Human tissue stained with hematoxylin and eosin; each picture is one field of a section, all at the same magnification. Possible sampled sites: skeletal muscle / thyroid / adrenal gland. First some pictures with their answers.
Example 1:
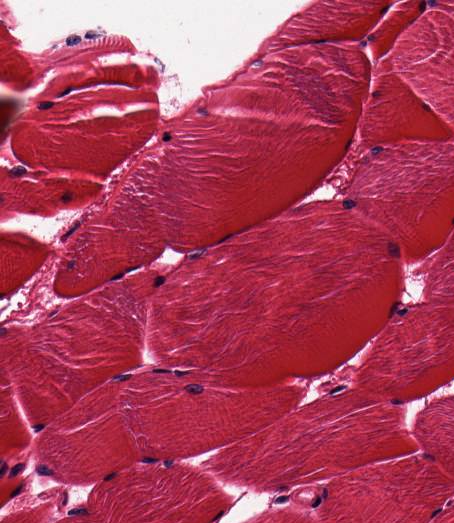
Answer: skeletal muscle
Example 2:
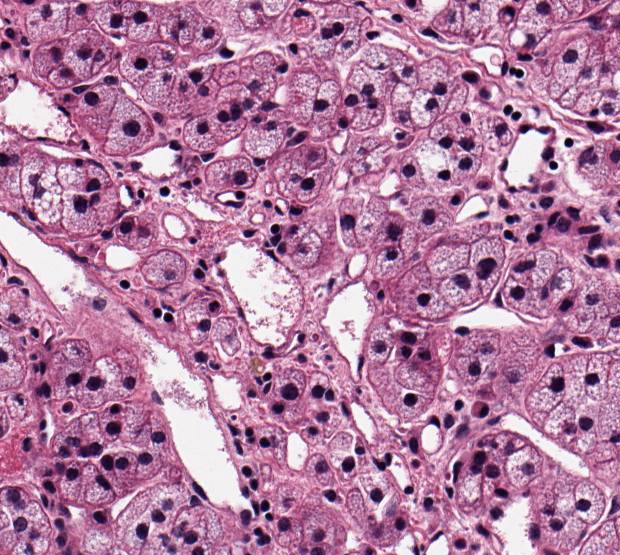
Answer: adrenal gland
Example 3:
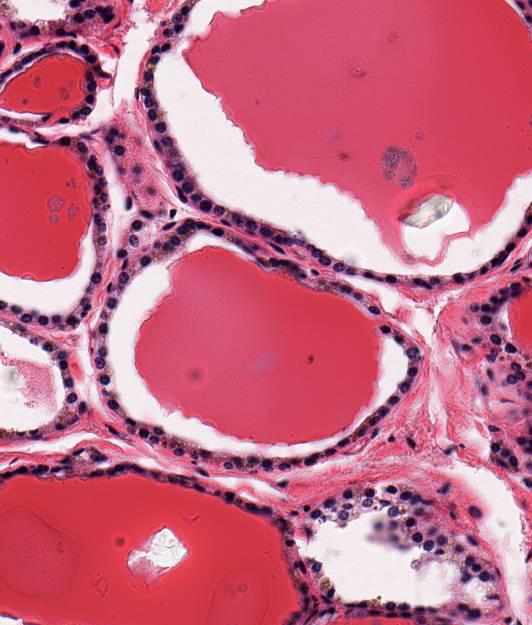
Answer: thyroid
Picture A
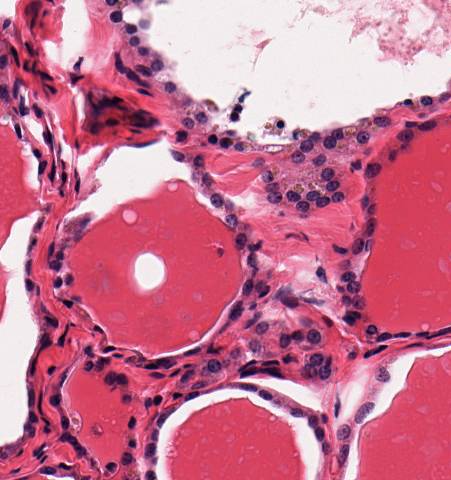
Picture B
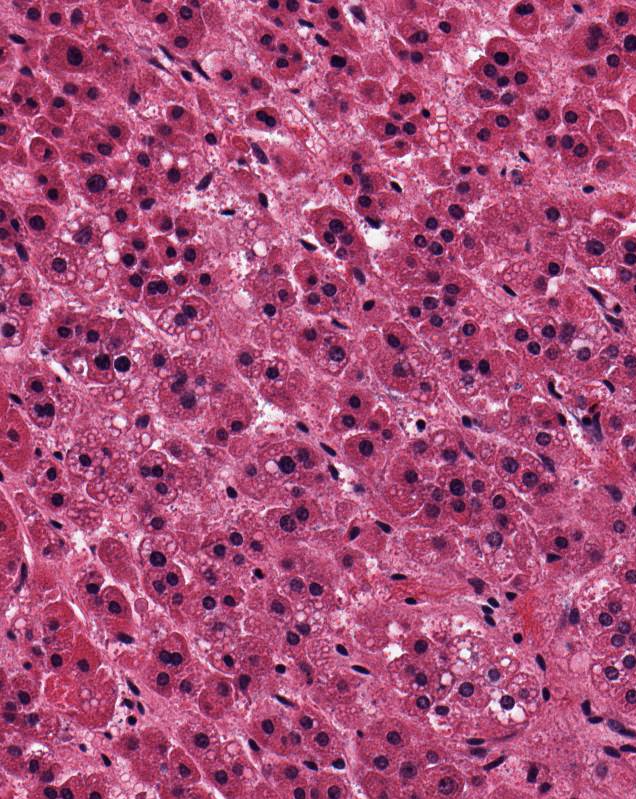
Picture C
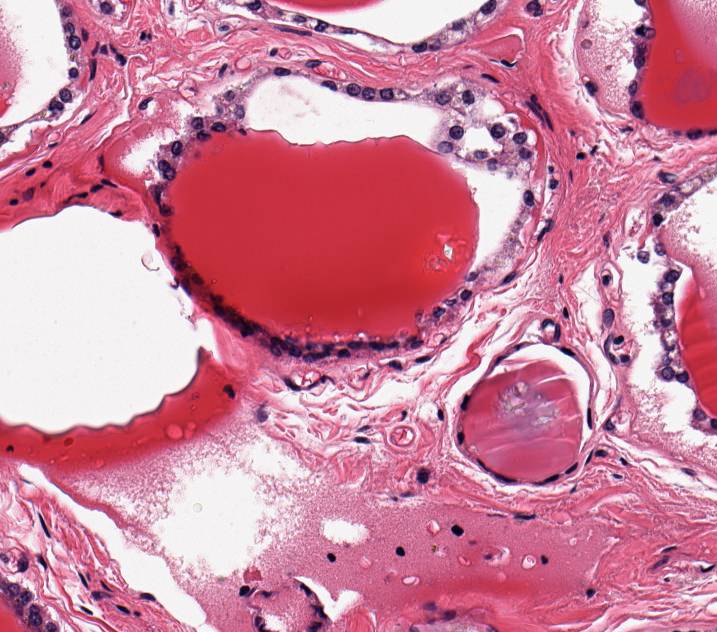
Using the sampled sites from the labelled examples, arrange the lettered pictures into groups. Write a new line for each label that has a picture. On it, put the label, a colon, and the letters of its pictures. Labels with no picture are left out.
thyroid: A, C
adrenal gland: B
